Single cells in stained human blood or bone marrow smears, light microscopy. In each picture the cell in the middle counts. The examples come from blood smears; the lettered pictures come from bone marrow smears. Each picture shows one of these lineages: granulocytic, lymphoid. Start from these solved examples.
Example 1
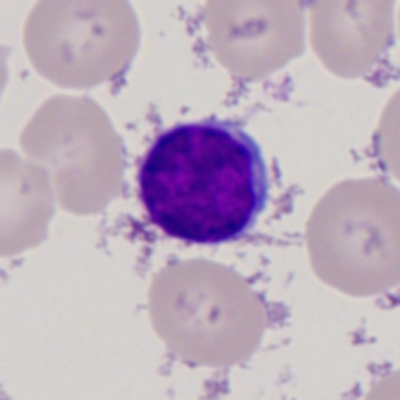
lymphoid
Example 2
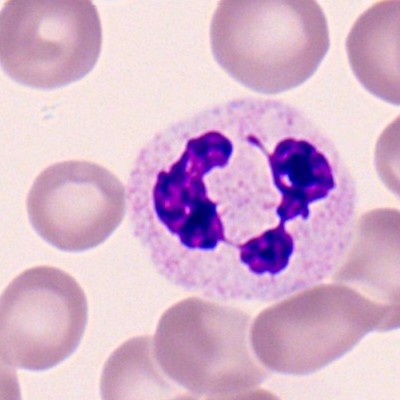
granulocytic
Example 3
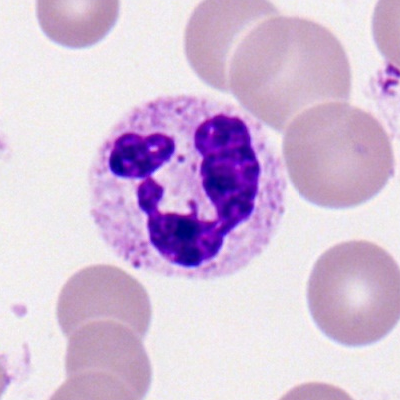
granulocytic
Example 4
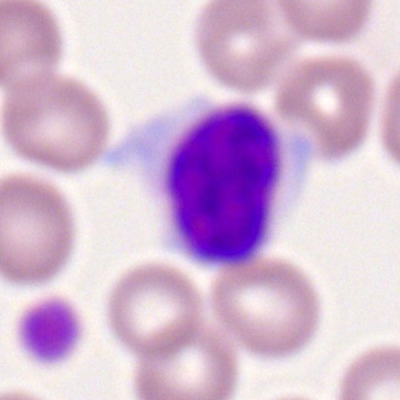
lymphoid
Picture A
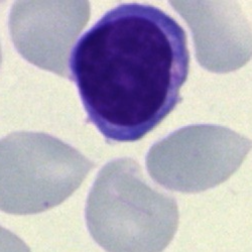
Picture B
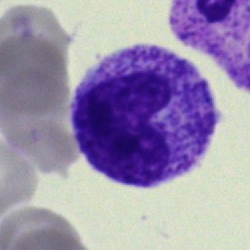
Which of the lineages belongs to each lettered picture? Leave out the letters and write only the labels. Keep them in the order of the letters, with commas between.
lymphoid, granulocytic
